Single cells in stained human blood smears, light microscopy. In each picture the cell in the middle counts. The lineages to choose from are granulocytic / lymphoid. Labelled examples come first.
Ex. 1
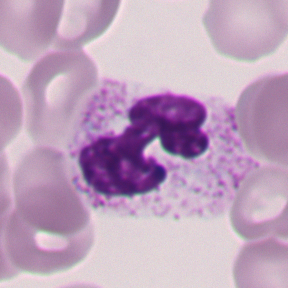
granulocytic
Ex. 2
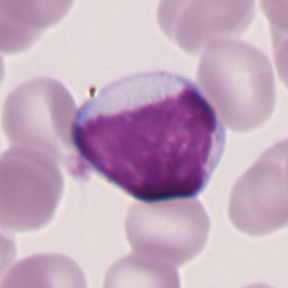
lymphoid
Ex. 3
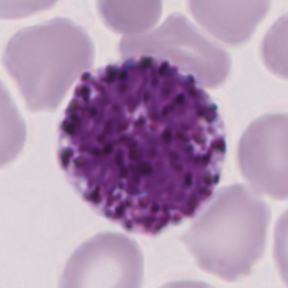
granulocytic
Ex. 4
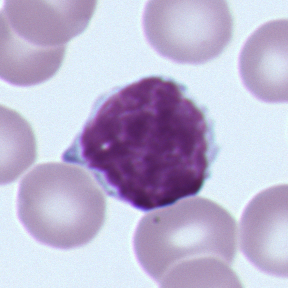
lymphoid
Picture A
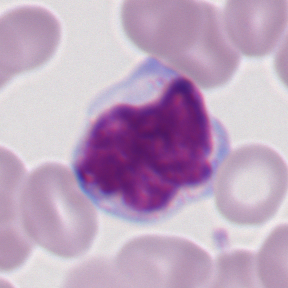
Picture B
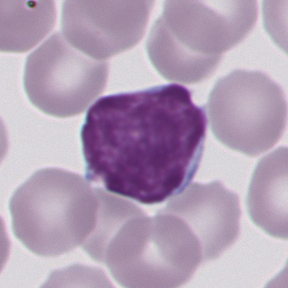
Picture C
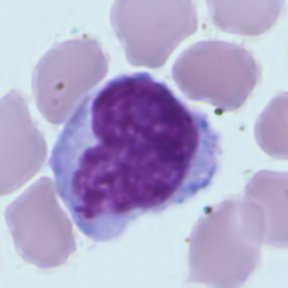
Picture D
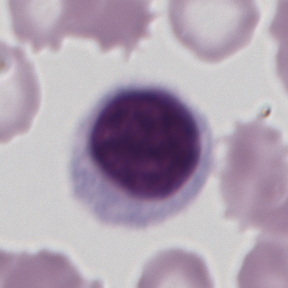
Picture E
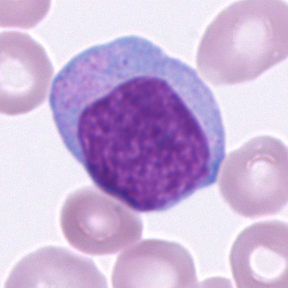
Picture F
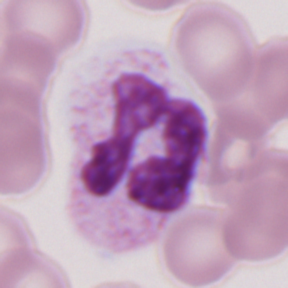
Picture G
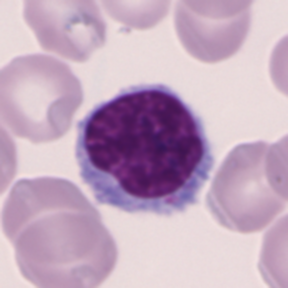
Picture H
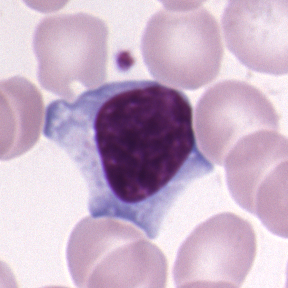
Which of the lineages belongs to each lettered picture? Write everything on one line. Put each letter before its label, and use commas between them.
A lymphoid, B lymphoid, C lymphoid, D lymphoid, E granulocytic, F granulocytic, G lymphoid, H lymphoid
